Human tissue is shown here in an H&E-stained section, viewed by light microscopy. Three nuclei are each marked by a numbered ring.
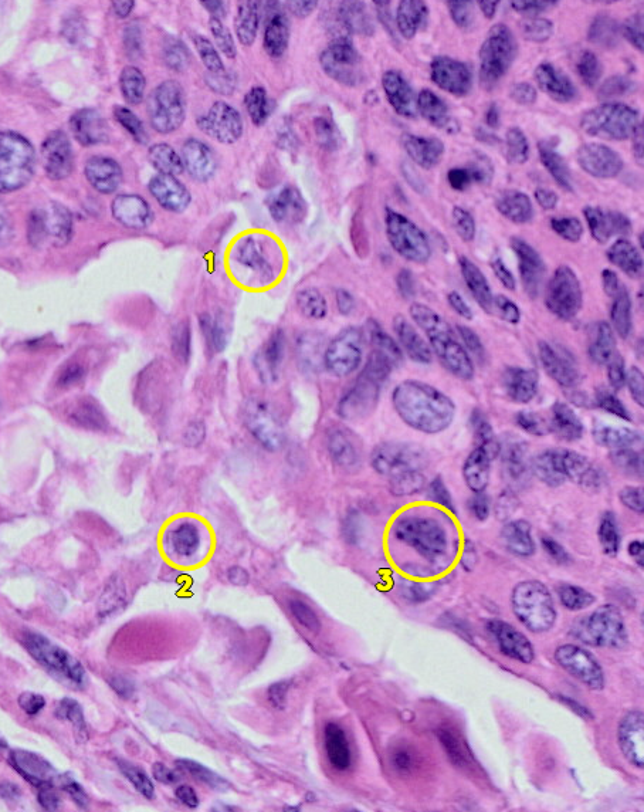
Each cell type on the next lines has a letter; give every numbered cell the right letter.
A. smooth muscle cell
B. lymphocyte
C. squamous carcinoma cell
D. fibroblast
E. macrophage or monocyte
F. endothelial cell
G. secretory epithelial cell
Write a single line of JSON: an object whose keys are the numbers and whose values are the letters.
{"1": "E", "2": "E", "3": "C"}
